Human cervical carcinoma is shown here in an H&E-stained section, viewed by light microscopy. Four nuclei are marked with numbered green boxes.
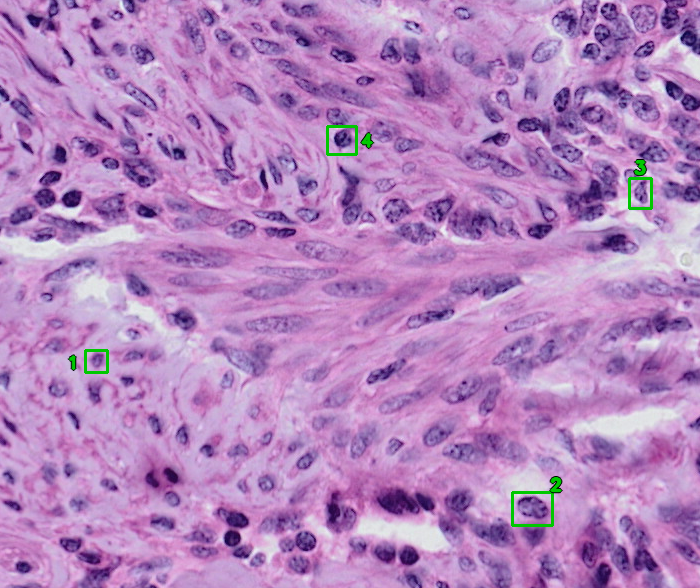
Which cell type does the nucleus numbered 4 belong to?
lymphocyte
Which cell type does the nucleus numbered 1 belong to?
smooth muscle cell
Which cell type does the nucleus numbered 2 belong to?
lymphocyte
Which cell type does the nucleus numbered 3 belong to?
lymphocyte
